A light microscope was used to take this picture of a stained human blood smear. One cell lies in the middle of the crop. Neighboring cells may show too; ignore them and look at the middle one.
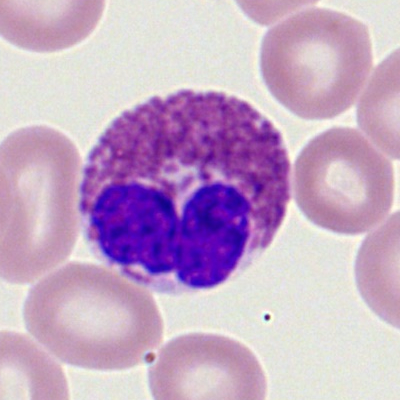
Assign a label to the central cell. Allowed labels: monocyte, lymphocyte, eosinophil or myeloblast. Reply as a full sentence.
As for the cell in the middle, it is an eosinophil.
